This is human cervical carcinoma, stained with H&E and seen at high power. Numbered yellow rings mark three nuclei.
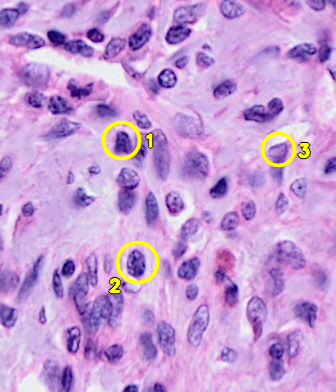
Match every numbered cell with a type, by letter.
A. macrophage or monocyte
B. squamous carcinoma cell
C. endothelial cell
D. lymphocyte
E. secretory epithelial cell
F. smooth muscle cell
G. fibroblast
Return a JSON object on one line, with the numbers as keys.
{"1": "D", "2": "D", "3": "A"}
